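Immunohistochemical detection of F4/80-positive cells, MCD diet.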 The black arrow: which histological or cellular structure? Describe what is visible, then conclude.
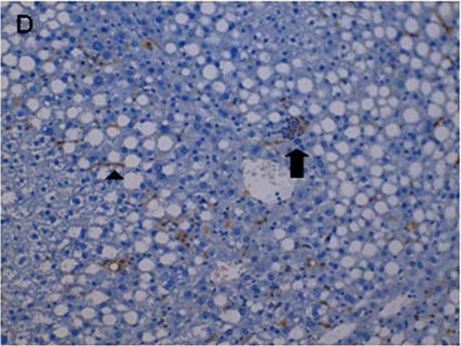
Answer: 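The arrow points to a small aggregate of cells with dark nuclei and brown stain. The aggregate lies near a vessel among vacuolated hepatocytes. The answer: macrophage clusters.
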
